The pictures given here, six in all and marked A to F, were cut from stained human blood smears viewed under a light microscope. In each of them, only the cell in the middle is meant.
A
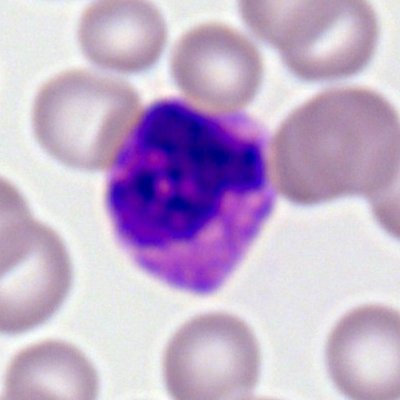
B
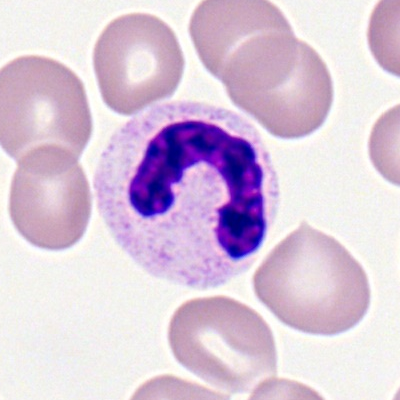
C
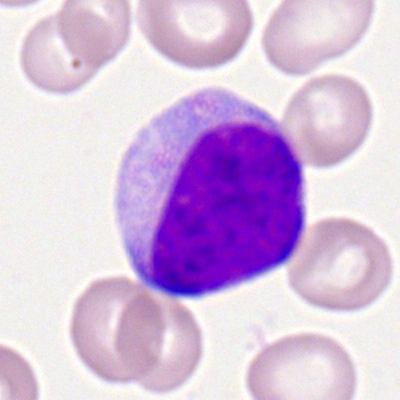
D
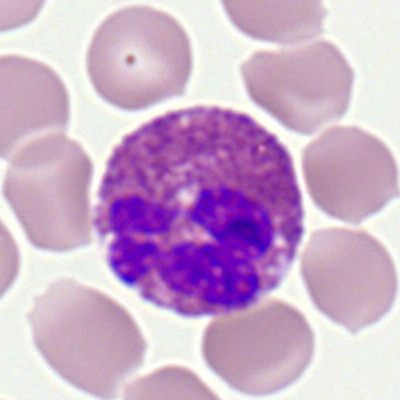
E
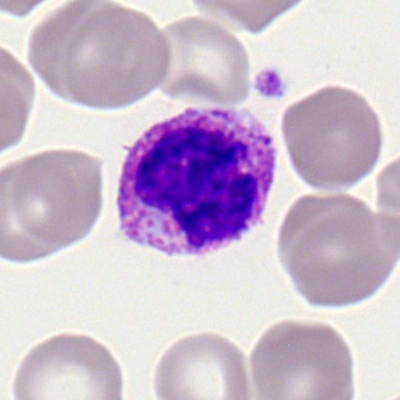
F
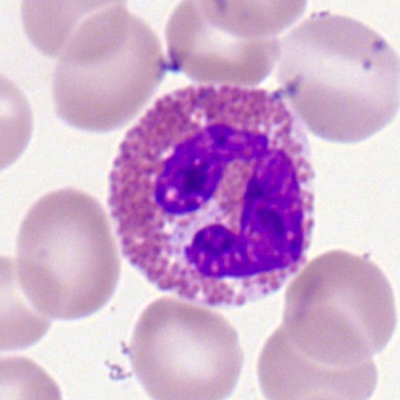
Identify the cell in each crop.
A: basophil
B: band neutrophil
C: myeloblast
D: eosinophil
E: basophil
F: eosinophil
